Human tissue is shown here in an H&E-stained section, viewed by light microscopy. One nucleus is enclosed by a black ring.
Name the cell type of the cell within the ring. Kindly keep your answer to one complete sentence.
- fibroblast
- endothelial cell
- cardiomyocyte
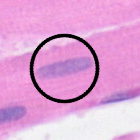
In the tissue under study, the cell within the ring is a cardiomyocyte.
